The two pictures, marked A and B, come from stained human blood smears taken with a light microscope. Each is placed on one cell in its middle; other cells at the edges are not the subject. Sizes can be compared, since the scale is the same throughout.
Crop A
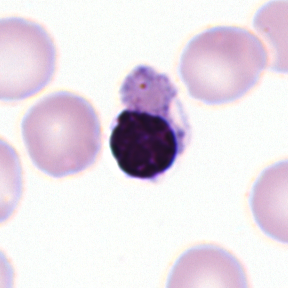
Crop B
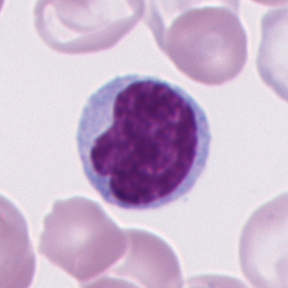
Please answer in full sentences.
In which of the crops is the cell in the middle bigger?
Crop B holds the larger cell; it covers about 2 times the area of the cell in crop A.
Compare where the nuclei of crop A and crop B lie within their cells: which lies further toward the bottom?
Seen within its cell, the nucleus in crop A lies further toward the bottom.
